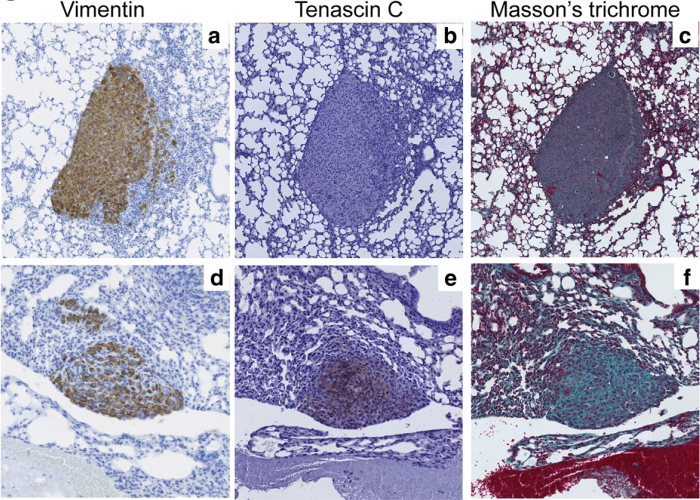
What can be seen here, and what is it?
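Lung tissue with open, thin-walled alveolar spaces surrounds compact, solid nodules of densely packed cells that fill and replace the alveolar architecture. In the first image of each row the cells of the nodule stain brown throughout, while the surrounding alveolar walls carry only a blue counterstain. In the middle images the nodules are mostly blue in the upper row and partly brown in the lower row.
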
